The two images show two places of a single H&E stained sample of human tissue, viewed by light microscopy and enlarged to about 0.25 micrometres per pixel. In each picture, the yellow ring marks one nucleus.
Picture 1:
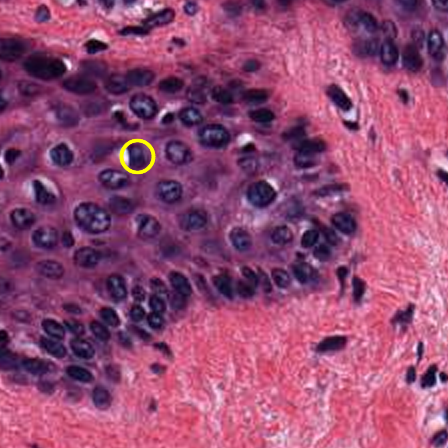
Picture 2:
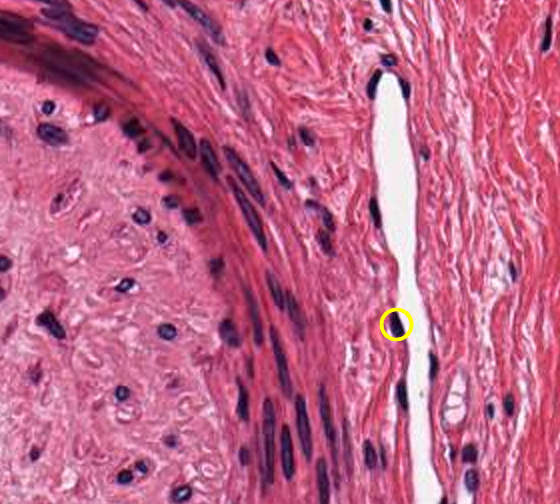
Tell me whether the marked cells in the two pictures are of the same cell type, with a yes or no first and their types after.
No, the first is a squamous epithelial cell and the second an endothelial cell.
